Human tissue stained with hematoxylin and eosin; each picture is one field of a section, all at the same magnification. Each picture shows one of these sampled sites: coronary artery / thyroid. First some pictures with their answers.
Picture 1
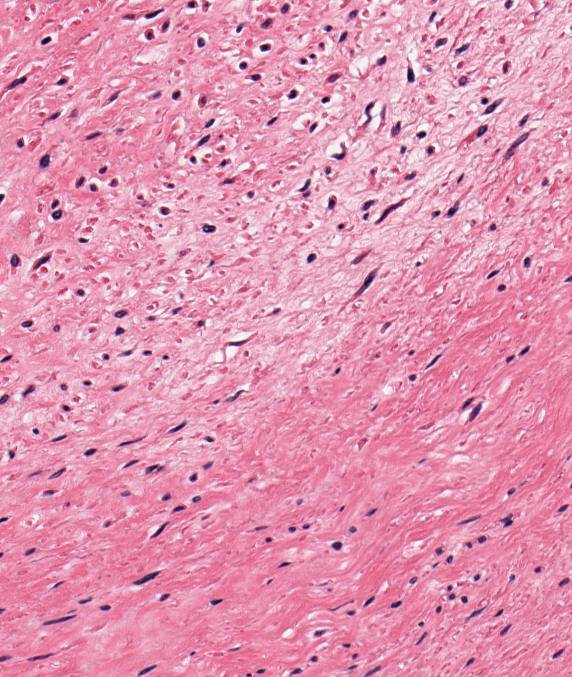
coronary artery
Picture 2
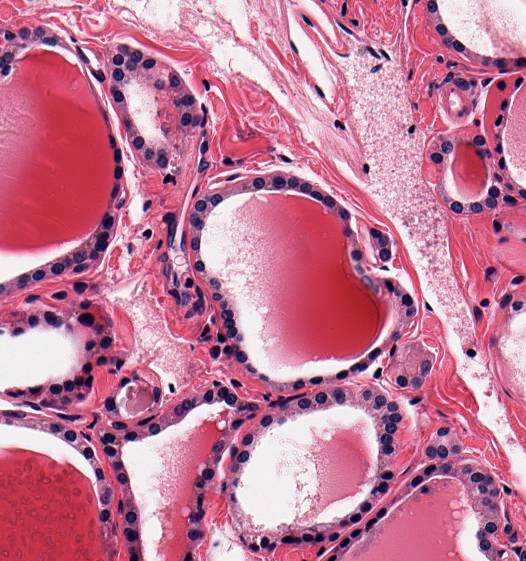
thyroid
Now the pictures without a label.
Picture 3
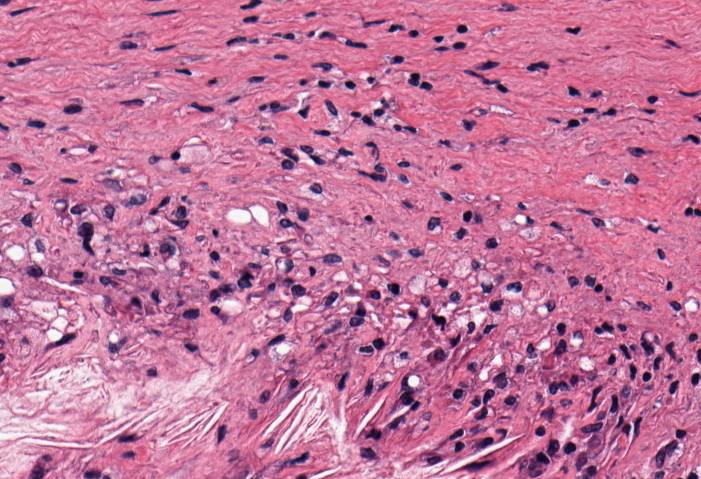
coronary artery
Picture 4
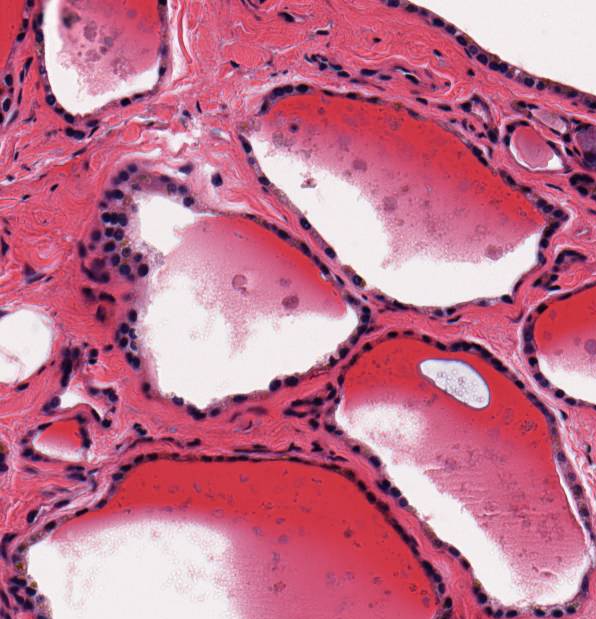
thyroid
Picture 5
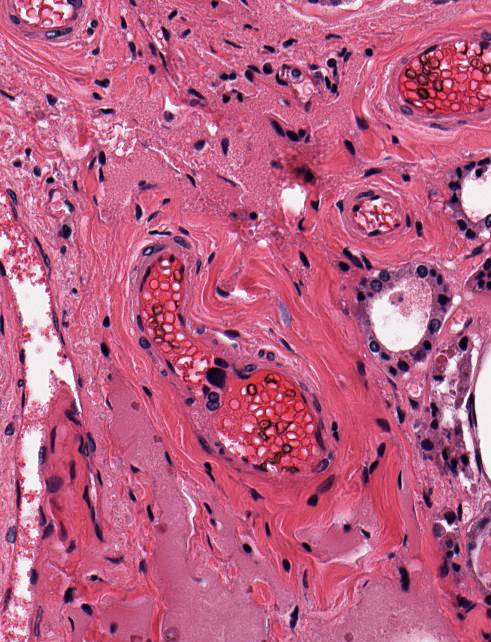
thyroid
